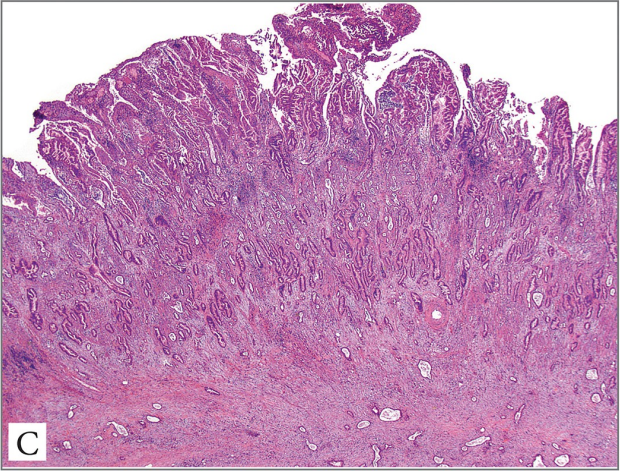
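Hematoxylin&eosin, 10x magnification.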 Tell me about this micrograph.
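At the surface, crowded, elongated glands lined by dark-staining columnar cells form an irregular, frayed top. Below this, many small, angulated and elongated glands run down in parallel into a dense pink stroma. Deeper still, scattered small glands lie isolated in the stroma well below the mucosa, showing invasion. The normal layered architecture of the wall is lost.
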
